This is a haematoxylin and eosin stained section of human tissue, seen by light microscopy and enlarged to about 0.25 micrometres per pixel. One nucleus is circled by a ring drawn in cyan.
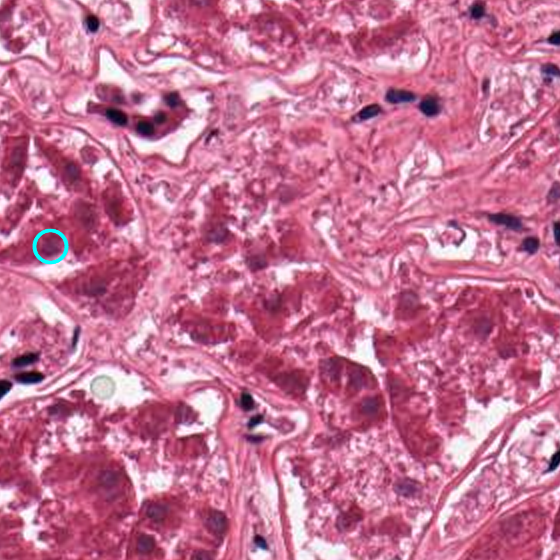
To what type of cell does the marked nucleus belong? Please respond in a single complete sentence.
Here the marked nucleus is part of a proximal tubule cell.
